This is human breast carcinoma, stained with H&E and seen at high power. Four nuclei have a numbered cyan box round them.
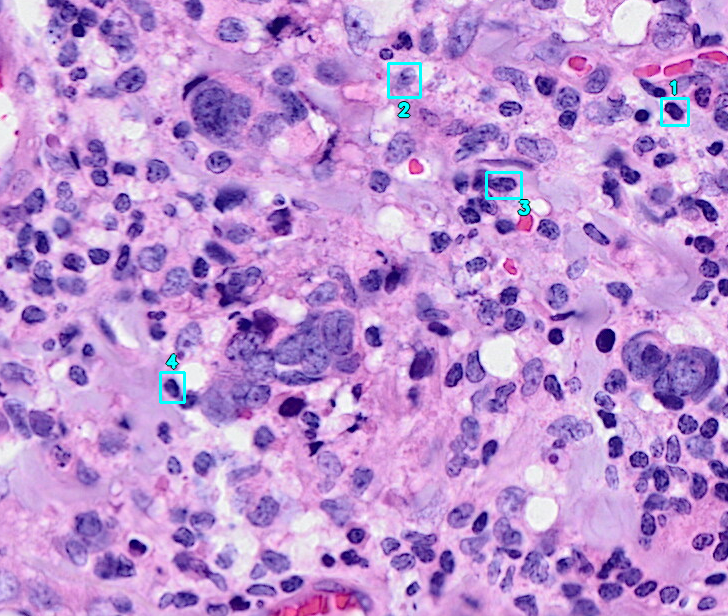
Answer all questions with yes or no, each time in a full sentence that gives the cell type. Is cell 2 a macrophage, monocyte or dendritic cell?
Yes, the cell indicated by number 2 is a macrophage, monocyte or dendritic cell.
